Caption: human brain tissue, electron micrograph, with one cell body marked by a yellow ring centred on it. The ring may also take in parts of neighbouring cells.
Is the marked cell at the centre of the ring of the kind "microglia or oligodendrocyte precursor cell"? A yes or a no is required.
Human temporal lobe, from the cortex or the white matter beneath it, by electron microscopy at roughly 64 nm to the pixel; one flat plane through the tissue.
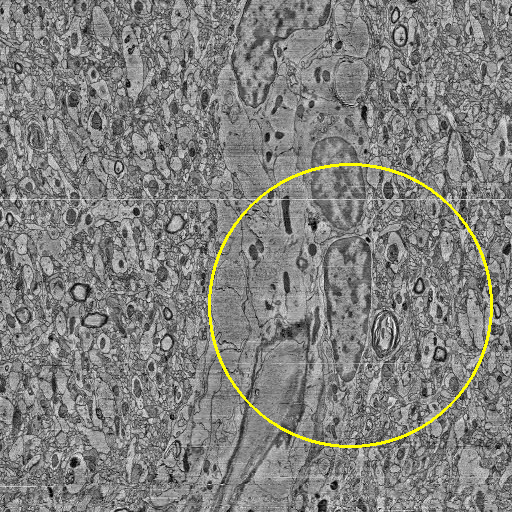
yes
